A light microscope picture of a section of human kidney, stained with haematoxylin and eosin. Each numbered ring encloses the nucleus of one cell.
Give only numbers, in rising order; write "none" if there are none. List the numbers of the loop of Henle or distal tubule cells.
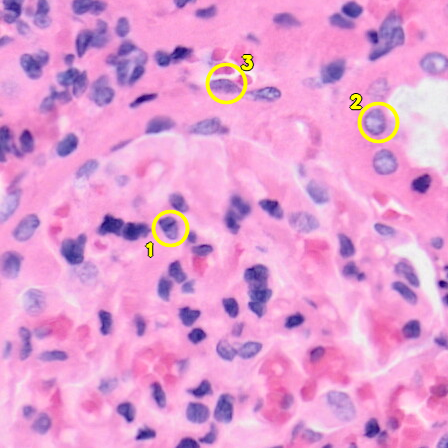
2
